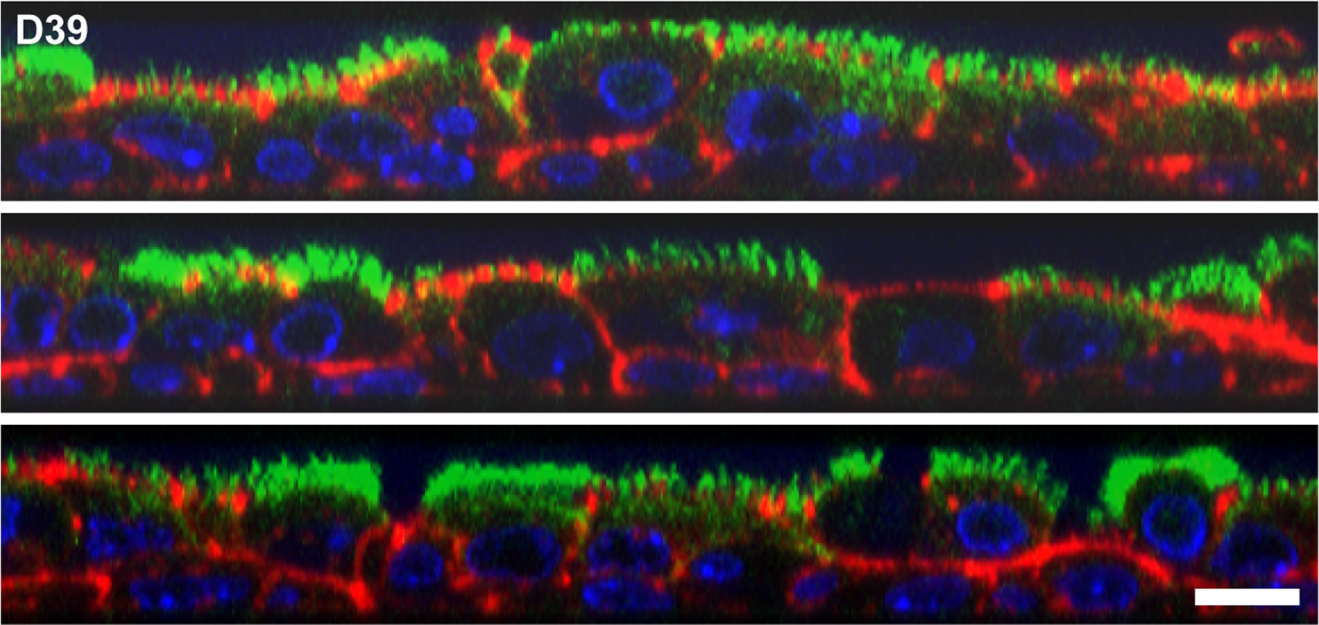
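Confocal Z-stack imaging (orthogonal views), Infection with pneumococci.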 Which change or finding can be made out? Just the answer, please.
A: Disorganization of the polarized, planar epithelial structure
